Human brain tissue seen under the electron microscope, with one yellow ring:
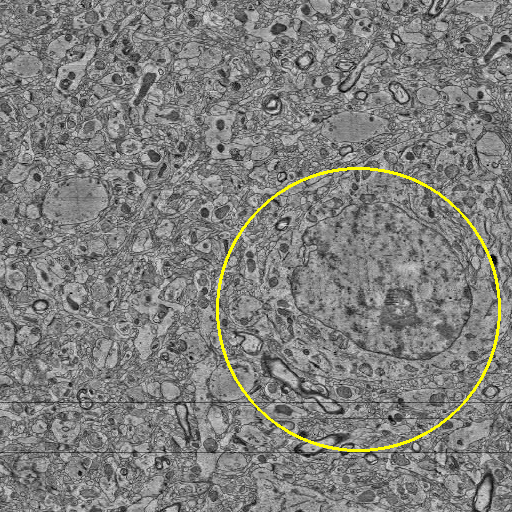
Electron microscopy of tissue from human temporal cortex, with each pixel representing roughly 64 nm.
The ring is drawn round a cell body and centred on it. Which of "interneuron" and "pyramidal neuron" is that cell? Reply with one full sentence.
The picture shows an interneuron at the very centre of the yellow ring.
